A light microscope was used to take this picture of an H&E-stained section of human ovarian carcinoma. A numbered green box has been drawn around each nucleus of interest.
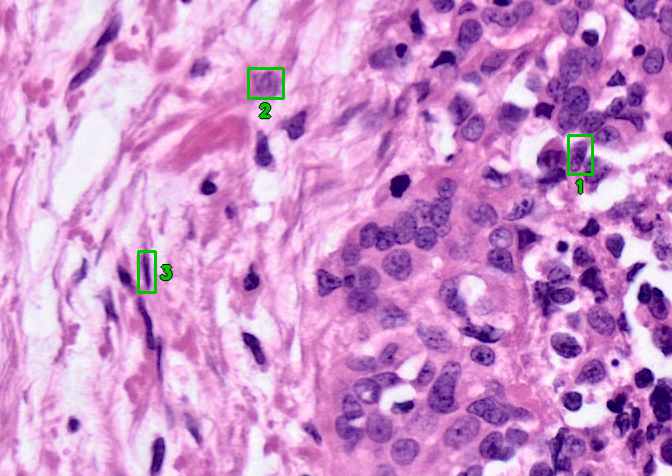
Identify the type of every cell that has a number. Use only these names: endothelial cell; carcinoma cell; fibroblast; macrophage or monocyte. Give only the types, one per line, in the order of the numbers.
carcinoma cell
fibroblast
fibroblast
